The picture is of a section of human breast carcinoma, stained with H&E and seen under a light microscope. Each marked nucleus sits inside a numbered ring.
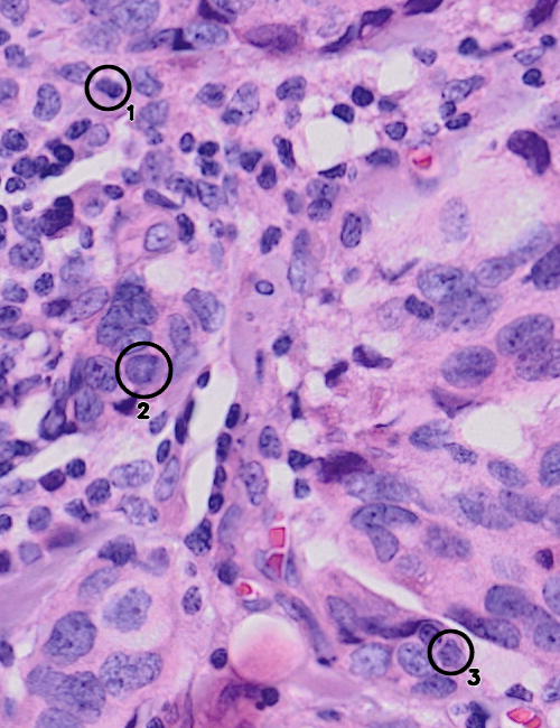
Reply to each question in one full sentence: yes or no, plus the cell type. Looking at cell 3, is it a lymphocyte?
No, number 3 is not a lymphocyte; it is a carcinoma cell.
